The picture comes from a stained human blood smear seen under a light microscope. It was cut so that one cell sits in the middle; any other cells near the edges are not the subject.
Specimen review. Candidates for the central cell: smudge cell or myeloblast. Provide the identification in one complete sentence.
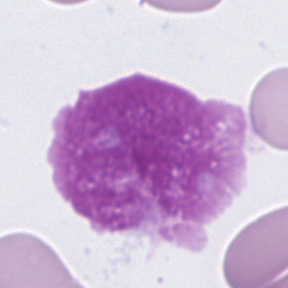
The single cell at the center of the crop is a smudge cell.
